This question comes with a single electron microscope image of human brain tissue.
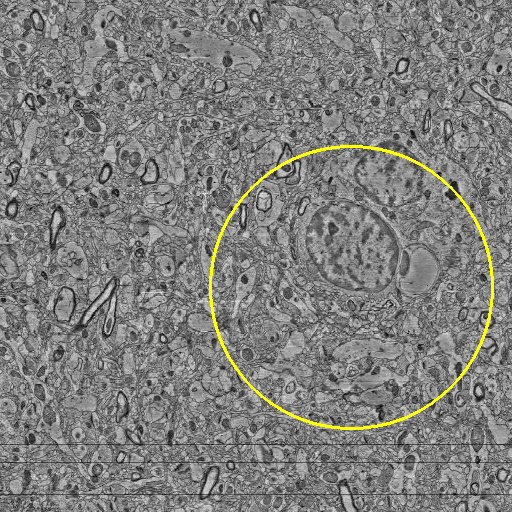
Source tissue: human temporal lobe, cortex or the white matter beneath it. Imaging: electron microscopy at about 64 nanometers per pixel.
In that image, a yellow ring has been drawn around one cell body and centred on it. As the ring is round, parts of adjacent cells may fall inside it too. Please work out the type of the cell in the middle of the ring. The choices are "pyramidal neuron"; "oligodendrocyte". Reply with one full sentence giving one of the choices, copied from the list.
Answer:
Of the choices, an oligodendrocyte is the cell sitting in the middle of the ring.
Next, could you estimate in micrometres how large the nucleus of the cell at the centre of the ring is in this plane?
Approximately 7 x 5 micrometres in this plane.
